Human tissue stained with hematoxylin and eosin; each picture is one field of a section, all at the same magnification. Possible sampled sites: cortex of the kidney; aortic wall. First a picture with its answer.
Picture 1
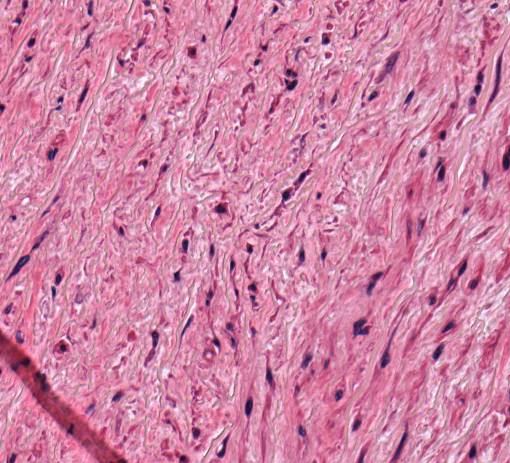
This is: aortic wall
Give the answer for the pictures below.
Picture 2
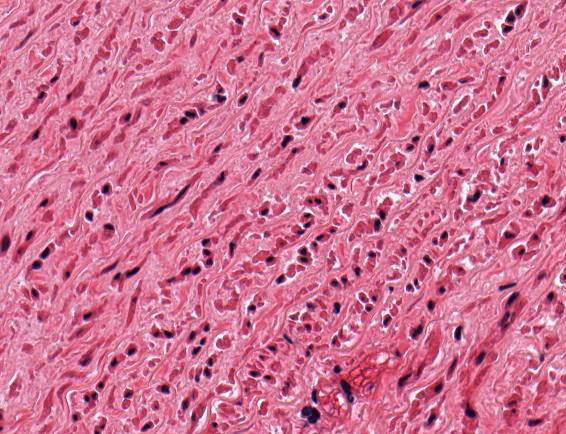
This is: aortic wall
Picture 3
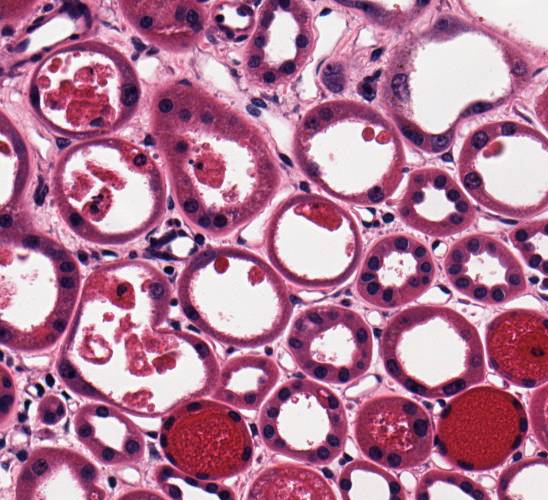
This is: cortex of the kidney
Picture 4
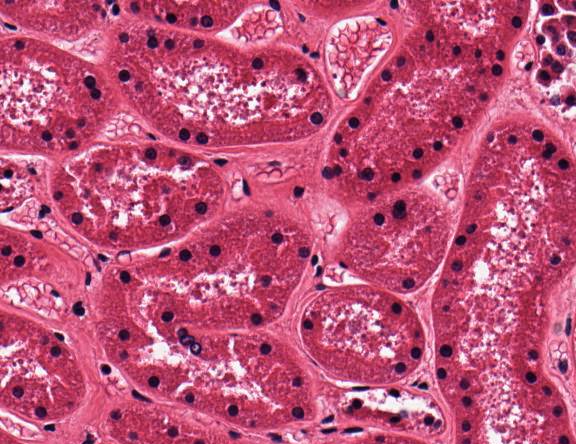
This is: cortex of the kidney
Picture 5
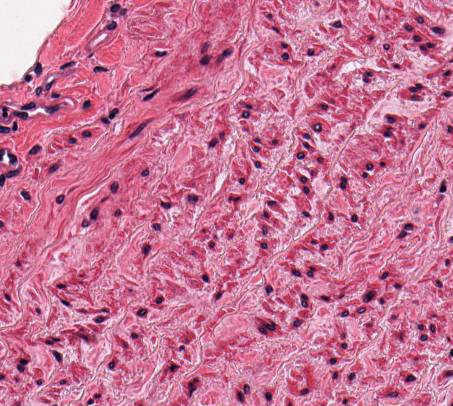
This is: aortic wall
